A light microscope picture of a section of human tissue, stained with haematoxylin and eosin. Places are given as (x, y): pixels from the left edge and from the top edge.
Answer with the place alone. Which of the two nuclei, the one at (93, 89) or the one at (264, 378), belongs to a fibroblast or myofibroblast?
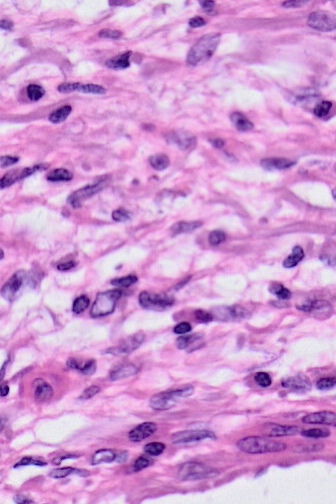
(93, 89)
